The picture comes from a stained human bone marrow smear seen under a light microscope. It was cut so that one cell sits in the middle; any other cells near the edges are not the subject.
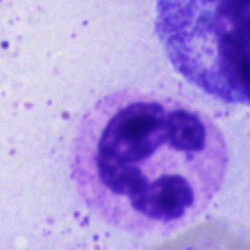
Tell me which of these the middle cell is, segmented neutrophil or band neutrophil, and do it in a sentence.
Framed in the middle of the crop is a segmented neutrophil.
